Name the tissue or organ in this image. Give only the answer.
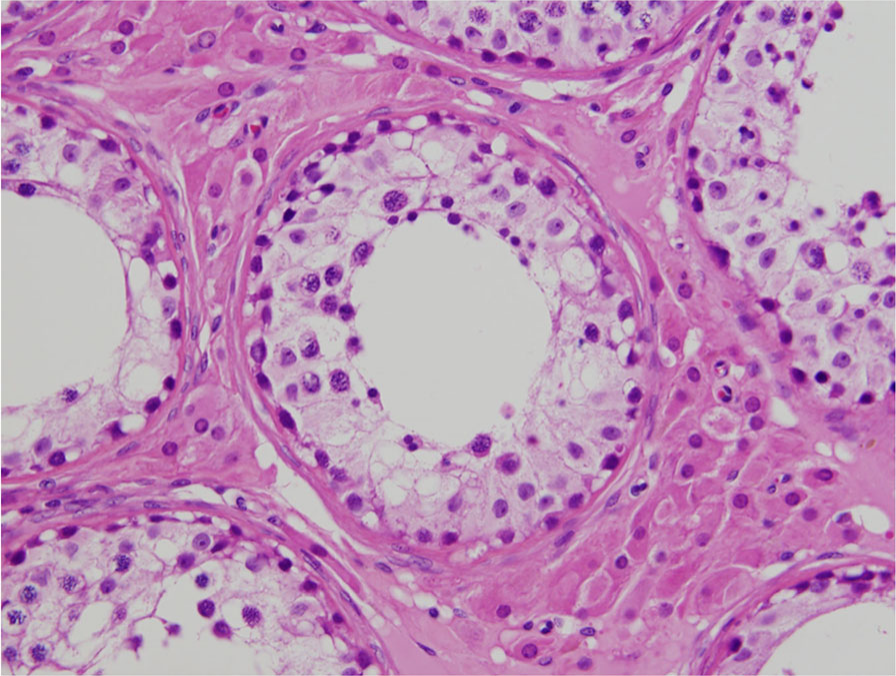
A: seminiferous tubules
